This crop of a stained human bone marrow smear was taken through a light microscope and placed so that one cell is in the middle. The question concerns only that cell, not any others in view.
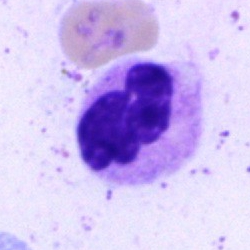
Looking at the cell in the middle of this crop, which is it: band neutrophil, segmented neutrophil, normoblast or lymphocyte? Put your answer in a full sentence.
Framed in the middle of the crop is a segmented neutrophil.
